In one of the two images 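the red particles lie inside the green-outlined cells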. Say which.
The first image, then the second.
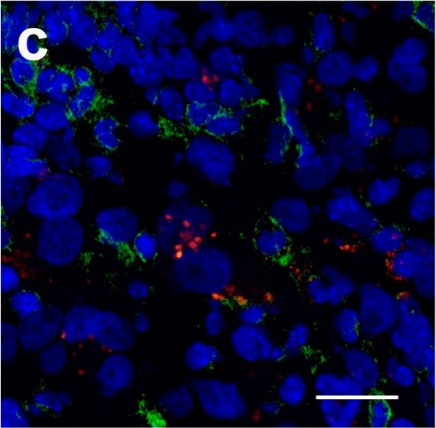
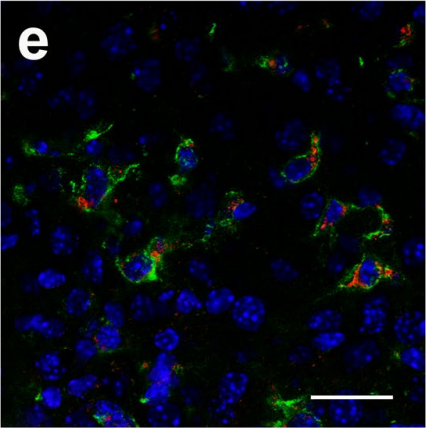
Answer: the second image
